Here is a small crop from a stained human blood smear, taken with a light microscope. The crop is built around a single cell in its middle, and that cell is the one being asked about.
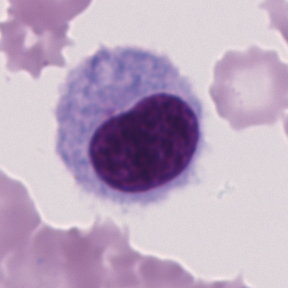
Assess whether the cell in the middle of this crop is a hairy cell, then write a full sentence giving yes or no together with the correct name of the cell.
Yes, the cell at the centre is designated a hairy cell.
